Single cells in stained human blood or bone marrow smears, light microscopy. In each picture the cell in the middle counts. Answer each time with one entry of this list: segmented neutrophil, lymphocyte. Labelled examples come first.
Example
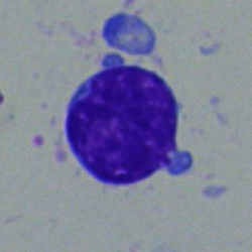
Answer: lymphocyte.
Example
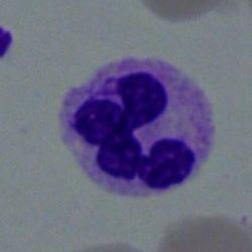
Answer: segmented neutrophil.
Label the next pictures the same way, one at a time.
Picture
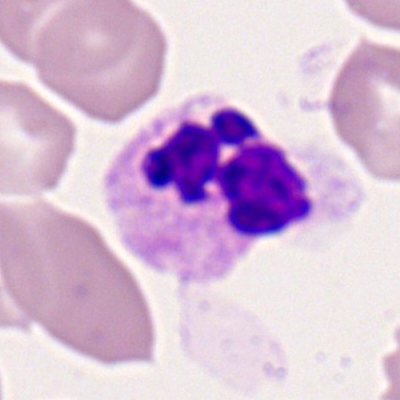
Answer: segmented neutrophil.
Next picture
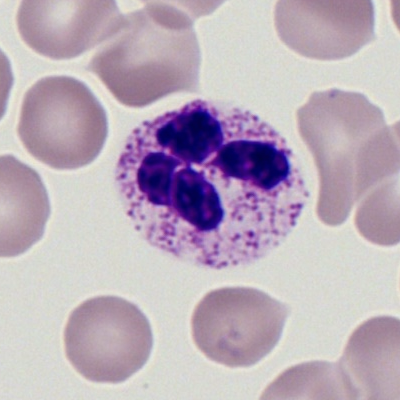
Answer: segmented neutrophil.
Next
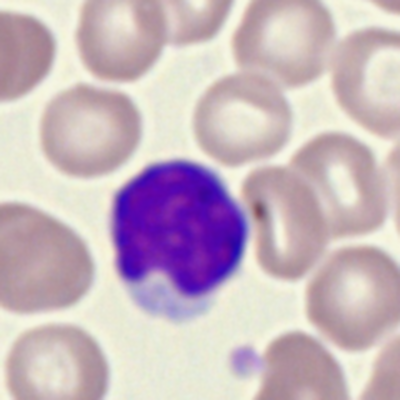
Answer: lymphocyte.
